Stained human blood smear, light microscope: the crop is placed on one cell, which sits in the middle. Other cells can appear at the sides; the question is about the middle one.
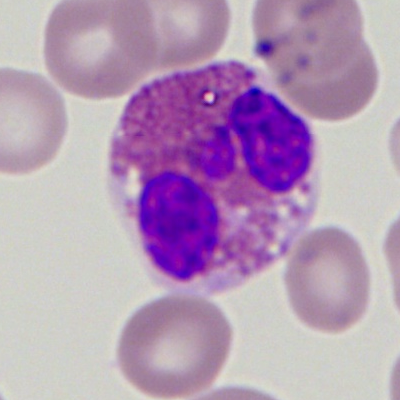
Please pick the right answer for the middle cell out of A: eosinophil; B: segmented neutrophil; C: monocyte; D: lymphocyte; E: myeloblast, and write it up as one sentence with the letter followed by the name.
Given that the cell in the middle is an eosinophil, option A is correct.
